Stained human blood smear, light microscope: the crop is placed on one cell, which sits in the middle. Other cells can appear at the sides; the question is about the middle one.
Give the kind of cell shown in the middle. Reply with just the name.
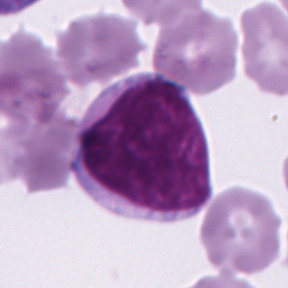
myeloblast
